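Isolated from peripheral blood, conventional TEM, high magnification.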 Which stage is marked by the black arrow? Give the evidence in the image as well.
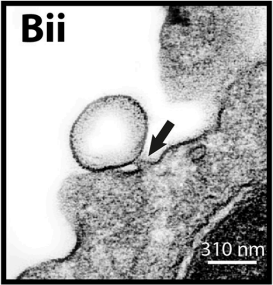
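A round membrane-bound vesicle sits at the cell surface. The arrow points to a narrow neck where the vesicle still touches the plasma membrane.
Answer: final process of detaching from the plasma membrane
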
